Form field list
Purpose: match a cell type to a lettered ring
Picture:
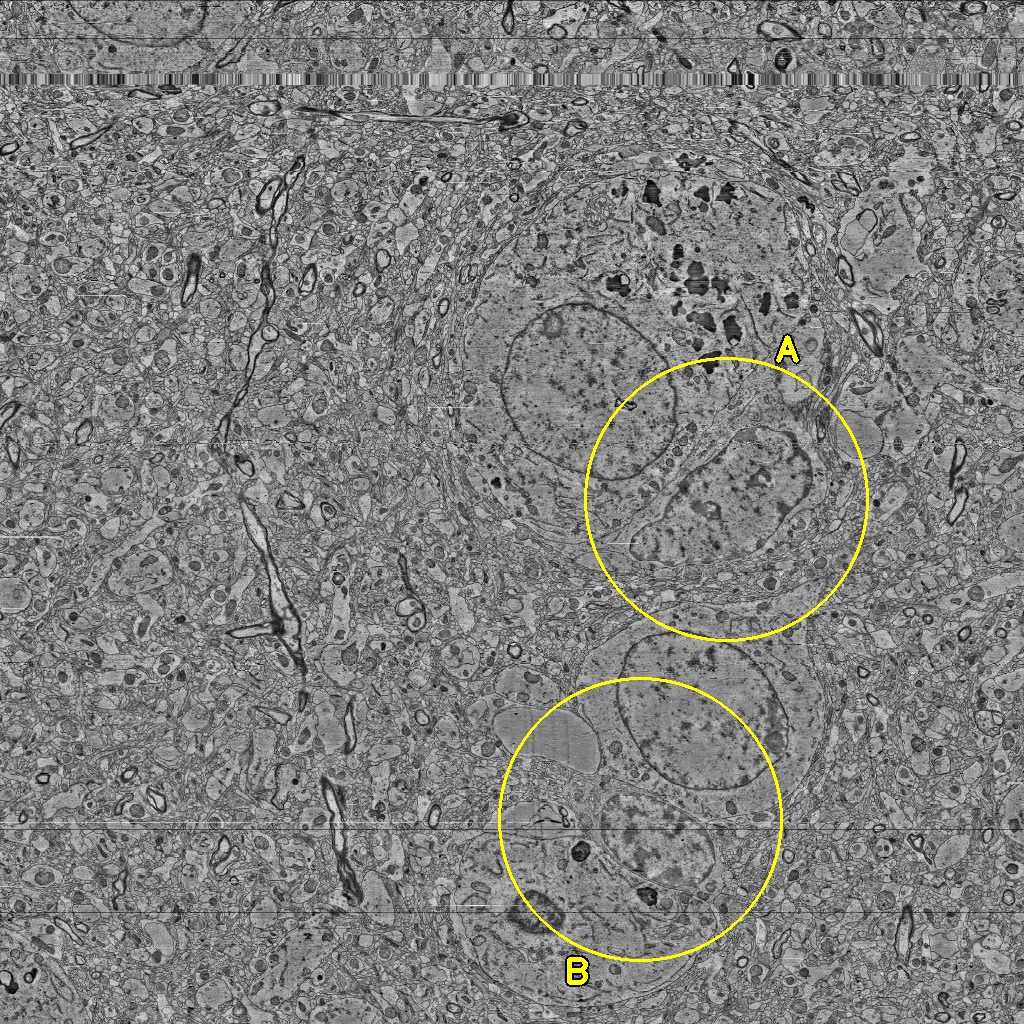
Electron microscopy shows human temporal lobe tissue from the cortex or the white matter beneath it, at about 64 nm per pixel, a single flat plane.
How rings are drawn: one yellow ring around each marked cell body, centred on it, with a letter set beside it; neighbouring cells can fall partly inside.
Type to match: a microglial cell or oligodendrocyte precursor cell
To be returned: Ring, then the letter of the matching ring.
Ring A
